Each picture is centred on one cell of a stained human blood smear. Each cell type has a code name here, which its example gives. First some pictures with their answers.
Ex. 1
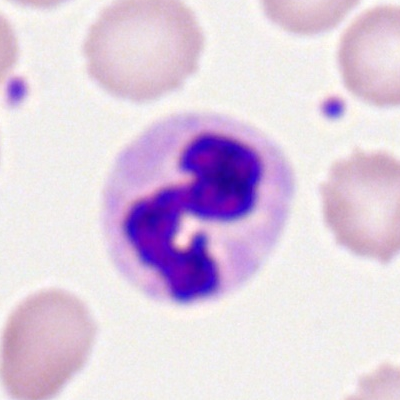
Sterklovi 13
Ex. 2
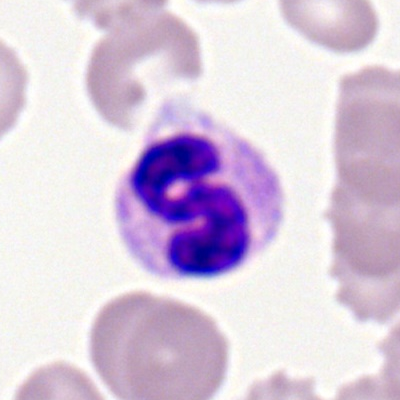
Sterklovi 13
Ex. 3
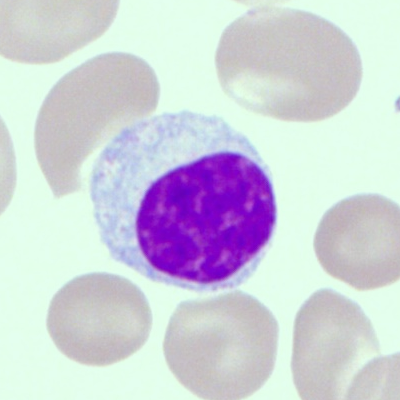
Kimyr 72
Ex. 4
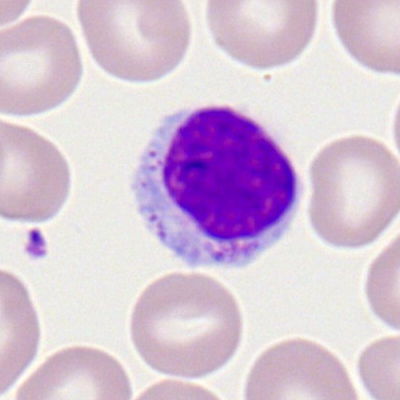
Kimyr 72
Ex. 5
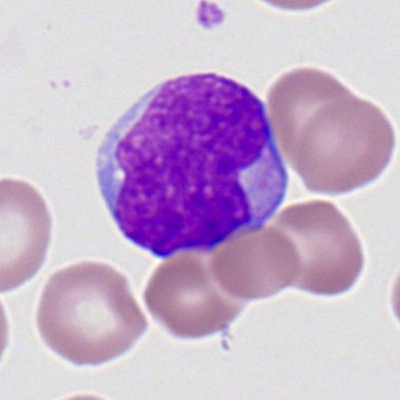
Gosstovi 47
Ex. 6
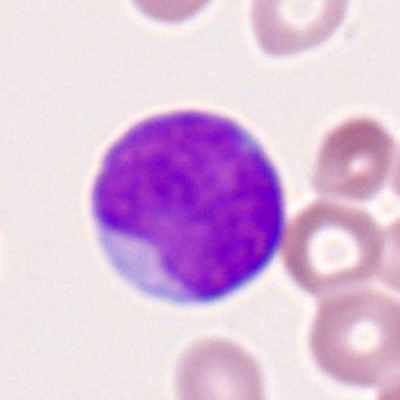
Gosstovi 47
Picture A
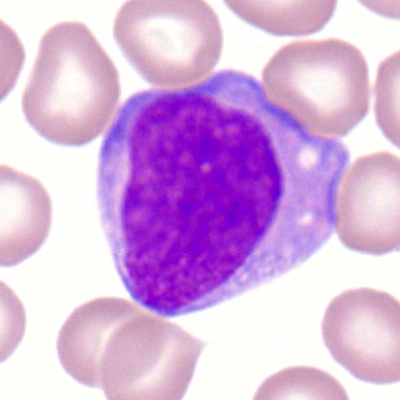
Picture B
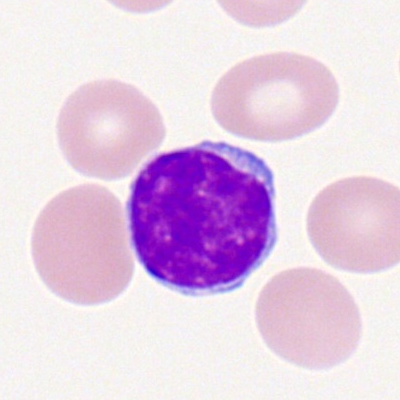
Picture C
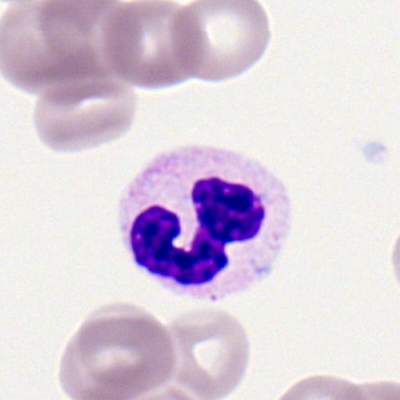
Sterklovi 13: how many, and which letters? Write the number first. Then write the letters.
Count: 1 (C)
